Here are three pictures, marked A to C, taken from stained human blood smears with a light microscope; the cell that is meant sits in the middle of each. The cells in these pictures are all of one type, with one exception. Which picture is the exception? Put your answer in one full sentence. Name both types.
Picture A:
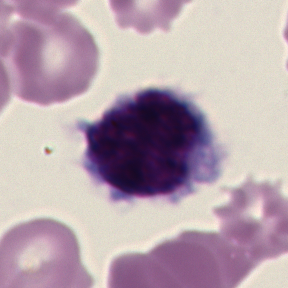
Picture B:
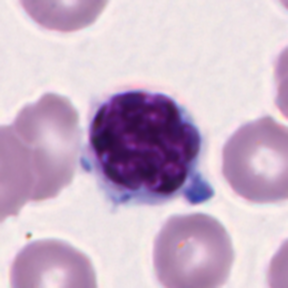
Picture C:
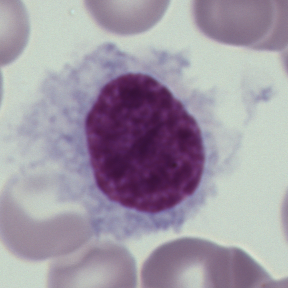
The others show hairy cells, but picture B shows a plasma cell.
